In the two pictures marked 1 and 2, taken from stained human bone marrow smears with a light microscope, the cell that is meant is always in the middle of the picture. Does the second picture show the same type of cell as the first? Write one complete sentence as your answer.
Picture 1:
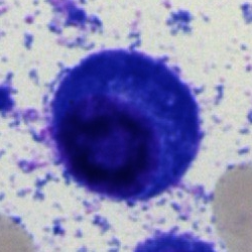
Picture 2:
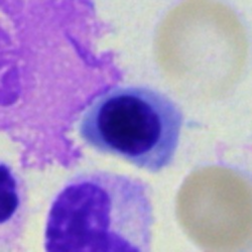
No; the cell in picture 1 is a plasma cell, while the one in picture 2 is an erythroblast.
